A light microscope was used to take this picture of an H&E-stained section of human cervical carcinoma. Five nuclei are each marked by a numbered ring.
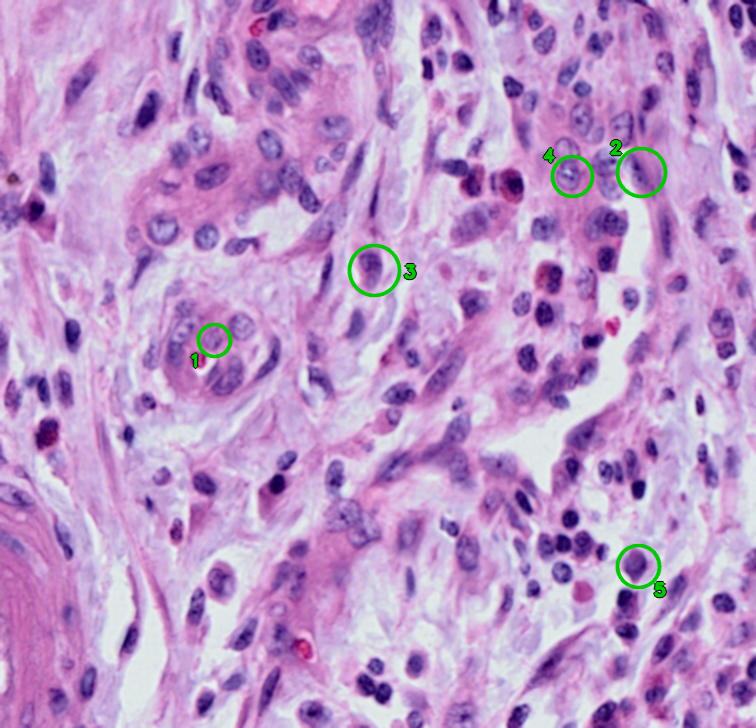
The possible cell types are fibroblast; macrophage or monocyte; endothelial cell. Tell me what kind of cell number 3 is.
macrophage or monocyte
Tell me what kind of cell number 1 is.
endothelial cell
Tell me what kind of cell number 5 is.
macrophage or monocyte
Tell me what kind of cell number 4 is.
endothelial cell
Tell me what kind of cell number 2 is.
endothelial cell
